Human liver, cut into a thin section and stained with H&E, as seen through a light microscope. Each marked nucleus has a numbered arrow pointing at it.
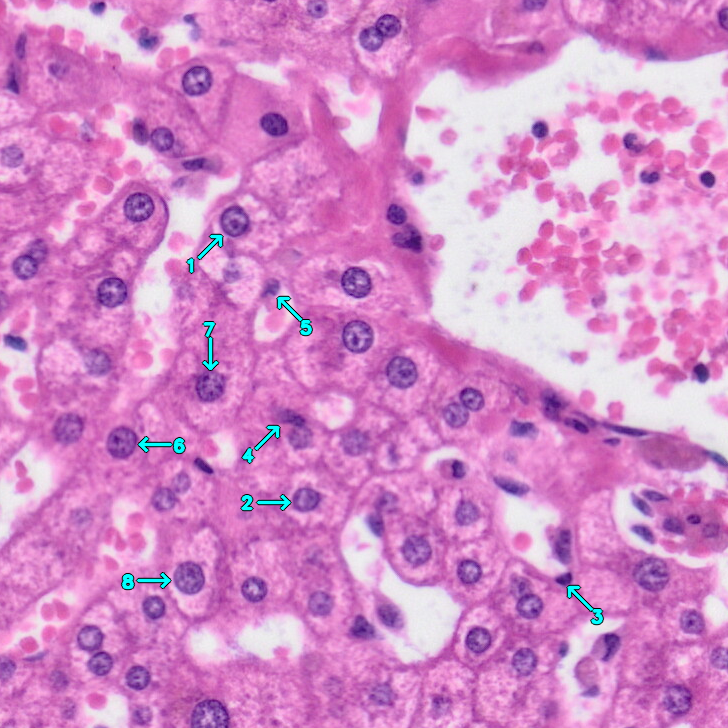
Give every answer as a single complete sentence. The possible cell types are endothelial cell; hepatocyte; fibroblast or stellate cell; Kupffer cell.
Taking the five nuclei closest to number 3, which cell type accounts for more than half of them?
Around number 3, most of the five nearest nuclei are those of Kupffer cells.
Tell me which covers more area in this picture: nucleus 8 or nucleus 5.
Of the two, number 8 is bigger and takes up about 3 times the area of number 5.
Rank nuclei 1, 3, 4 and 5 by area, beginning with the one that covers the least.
Smallest first, the nuclei run 3, 5, 4, 1.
